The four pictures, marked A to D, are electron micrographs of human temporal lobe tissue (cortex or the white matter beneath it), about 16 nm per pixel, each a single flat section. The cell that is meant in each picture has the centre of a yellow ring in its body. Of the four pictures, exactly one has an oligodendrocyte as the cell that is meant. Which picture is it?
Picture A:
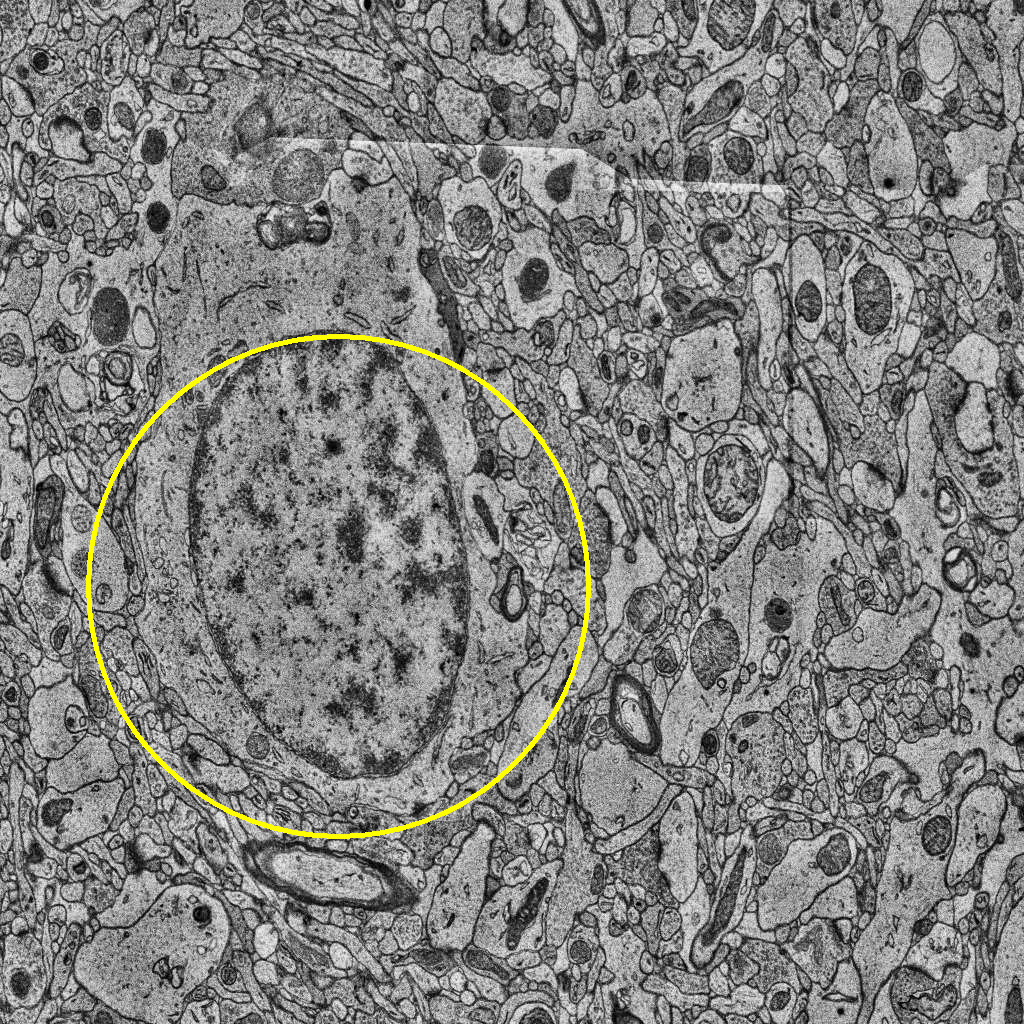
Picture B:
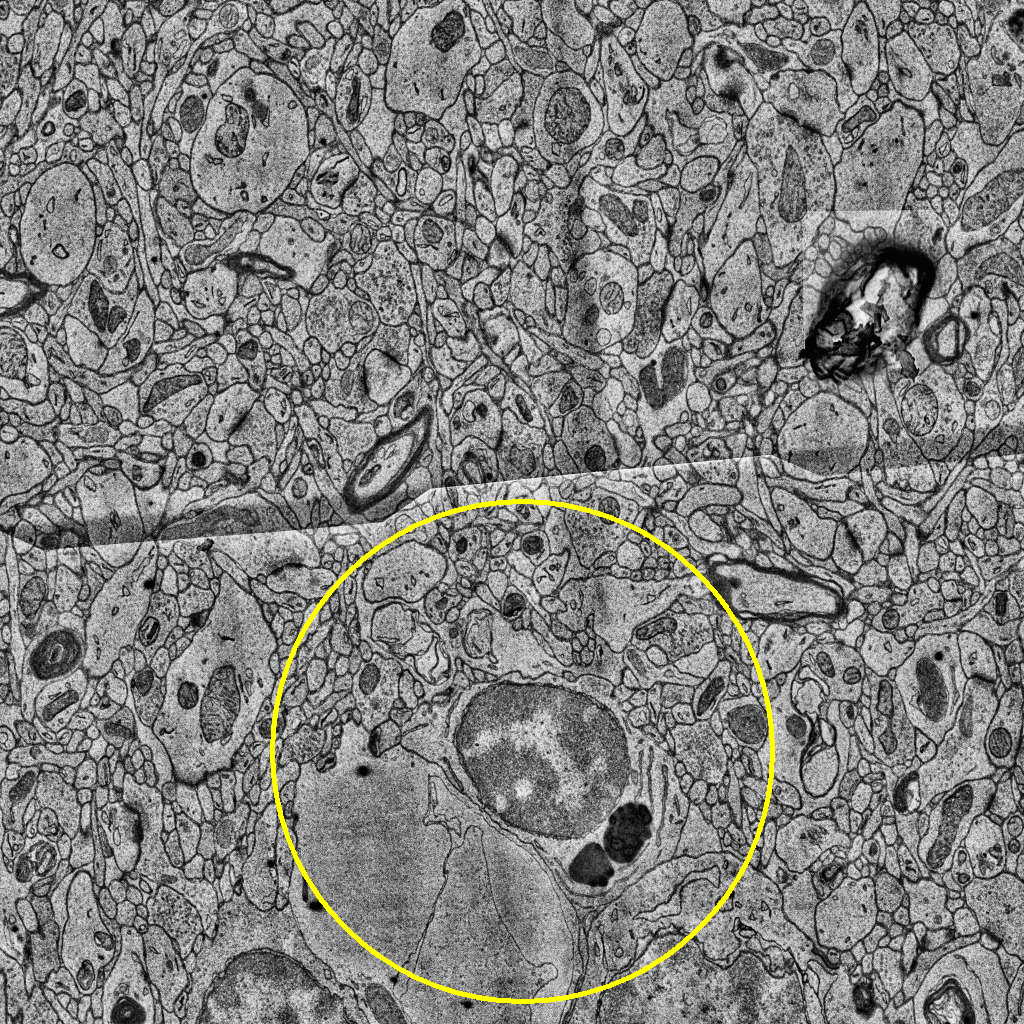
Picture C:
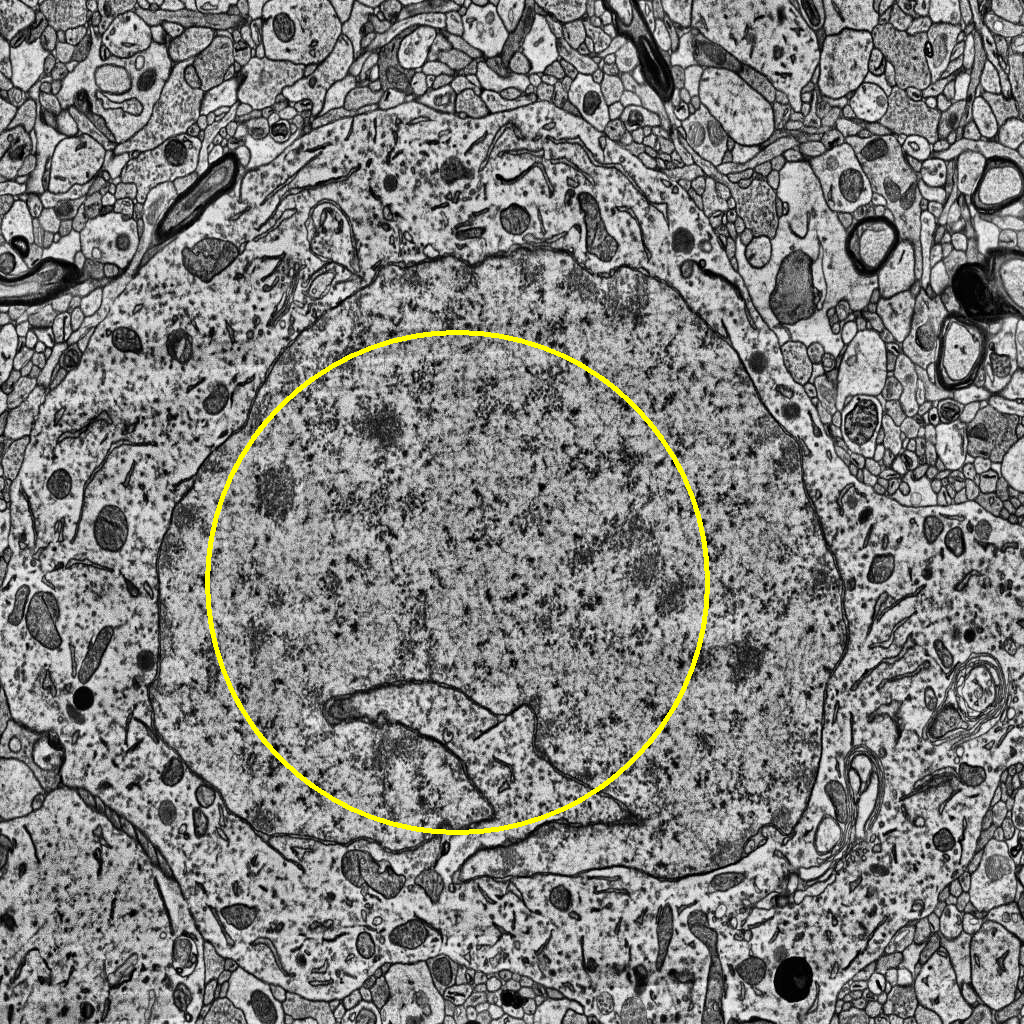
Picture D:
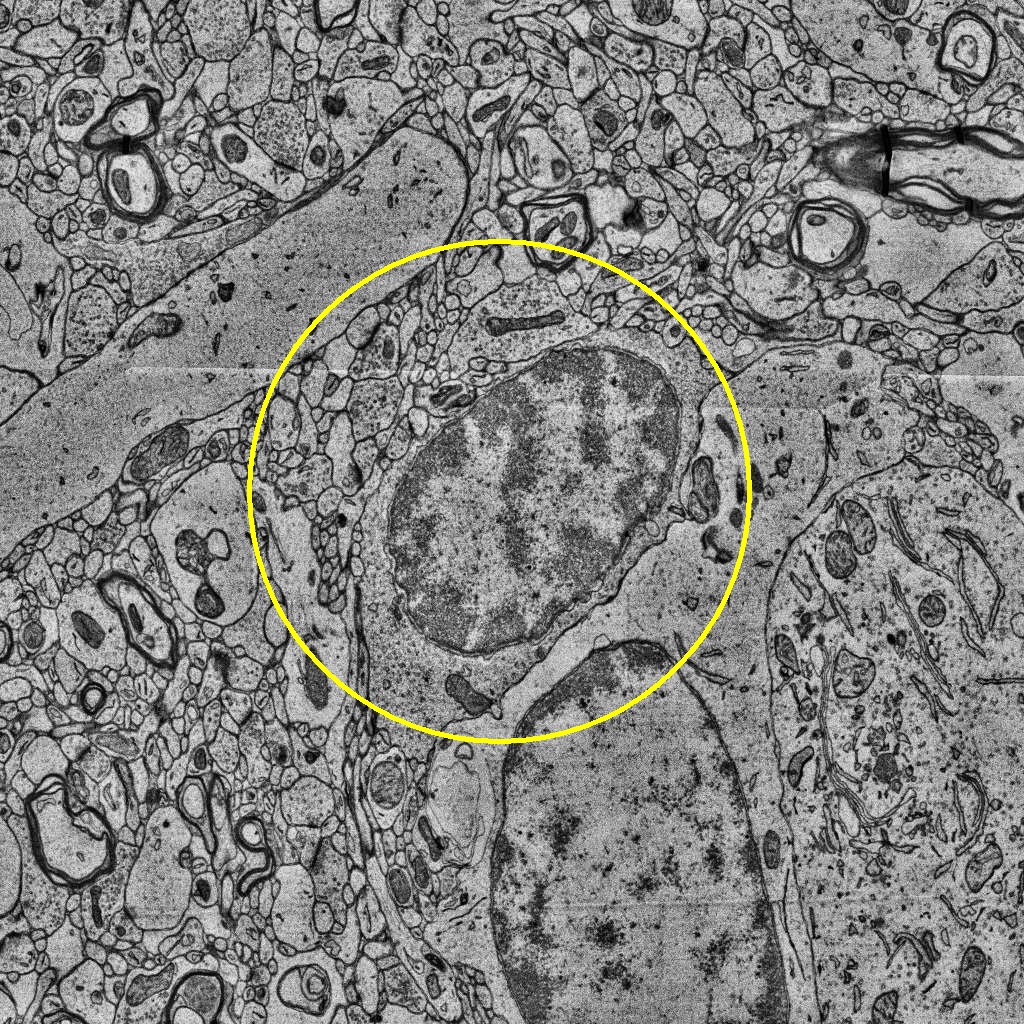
Picture D is the one that shows the oligodendrocyte.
